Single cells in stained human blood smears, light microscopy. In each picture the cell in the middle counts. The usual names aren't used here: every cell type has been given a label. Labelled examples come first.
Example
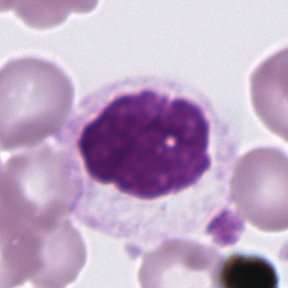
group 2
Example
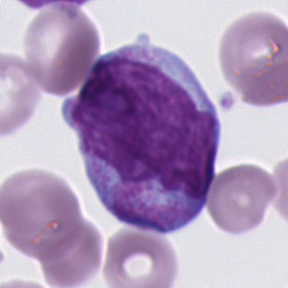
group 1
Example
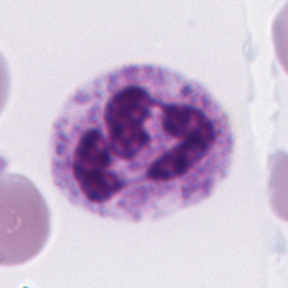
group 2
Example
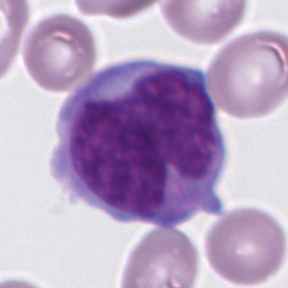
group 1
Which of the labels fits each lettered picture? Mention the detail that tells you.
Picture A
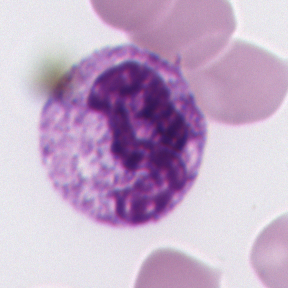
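group 2. The nucleus is divided into several connected lobes.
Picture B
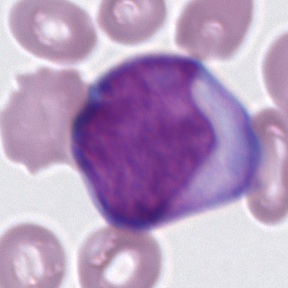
group 1. The nucleus fills most of the cell and sits toward its left side.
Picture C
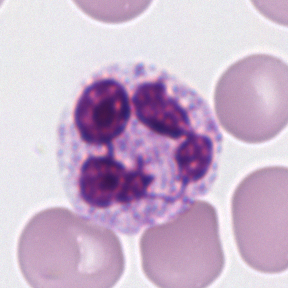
group 2. The nucleus is divided into four separate lobes.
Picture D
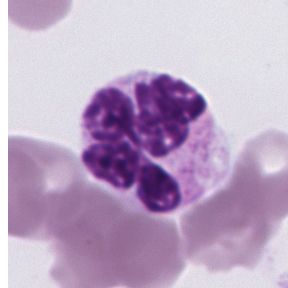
group 2. The nucleus is split into four separate lobes.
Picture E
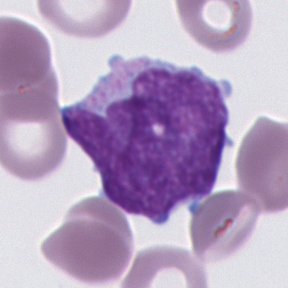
group 1. The nucleus fills most of the cell.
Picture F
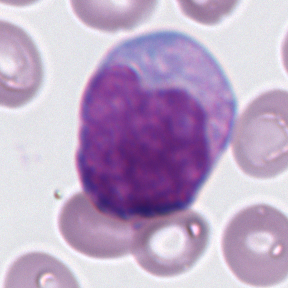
group 1. The nucleus fills most of the cell and sits toward the lower left.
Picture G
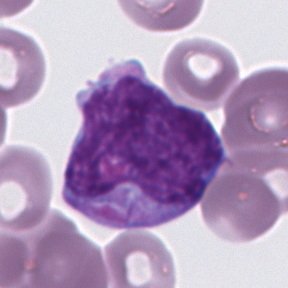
group 1. The nucleus fills most of the cell.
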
